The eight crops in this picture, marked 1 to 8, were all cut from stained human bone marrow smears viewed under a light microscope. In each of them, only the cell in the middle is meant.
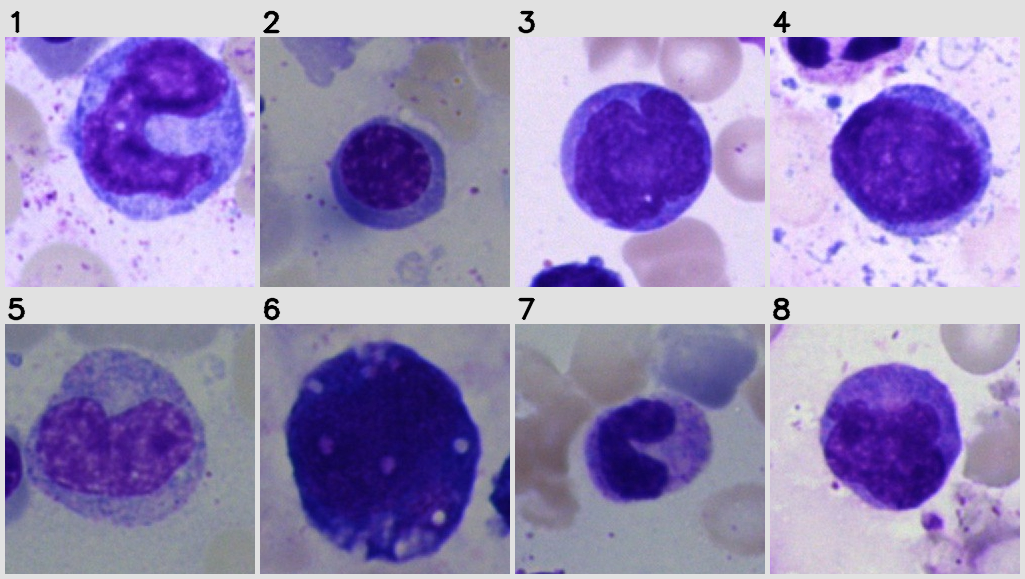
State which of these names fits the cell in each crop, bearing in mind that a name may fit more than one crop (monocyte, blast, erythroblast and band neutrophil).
1: monocyte
2: erythroblast
3: monocyte
4: blast
5: monocyte
6: blast
7: band neutrophil
8: monocyte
